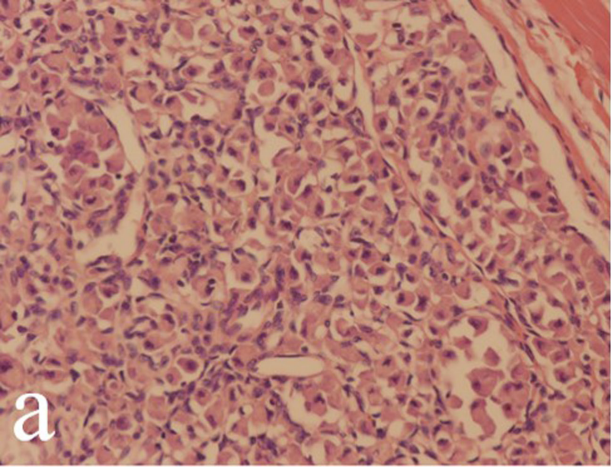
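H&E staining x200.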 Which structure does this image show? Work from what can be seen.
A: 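Solid nests of neoplastic cells separated by delicate fibrovascular septa. Polygonal cells lie packed in solid groups. Thin strands with slender vessel-like spaces run between the groups.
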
